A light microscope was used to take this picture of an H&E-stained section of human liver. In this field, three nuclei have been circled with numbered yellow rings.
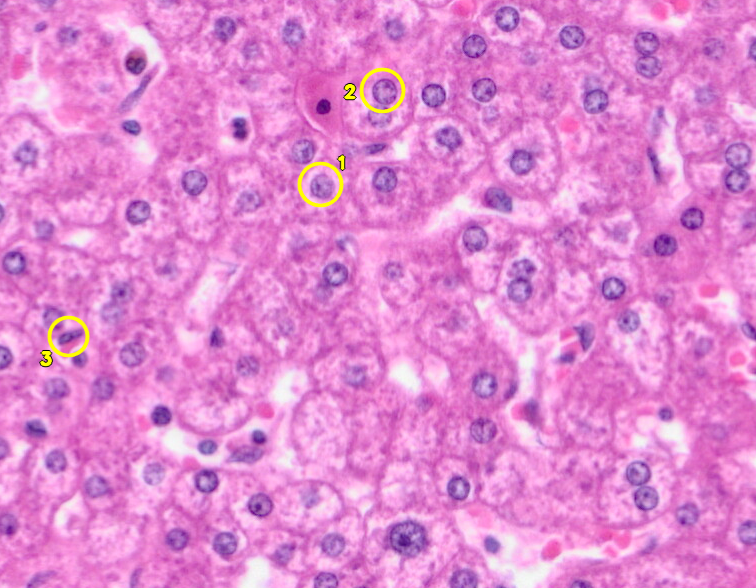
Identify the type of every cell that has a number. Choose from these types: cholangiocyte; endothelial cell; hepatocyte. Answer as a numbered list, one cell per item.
1. hepatocyte
2. hepatocyte
3. endothelial cell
